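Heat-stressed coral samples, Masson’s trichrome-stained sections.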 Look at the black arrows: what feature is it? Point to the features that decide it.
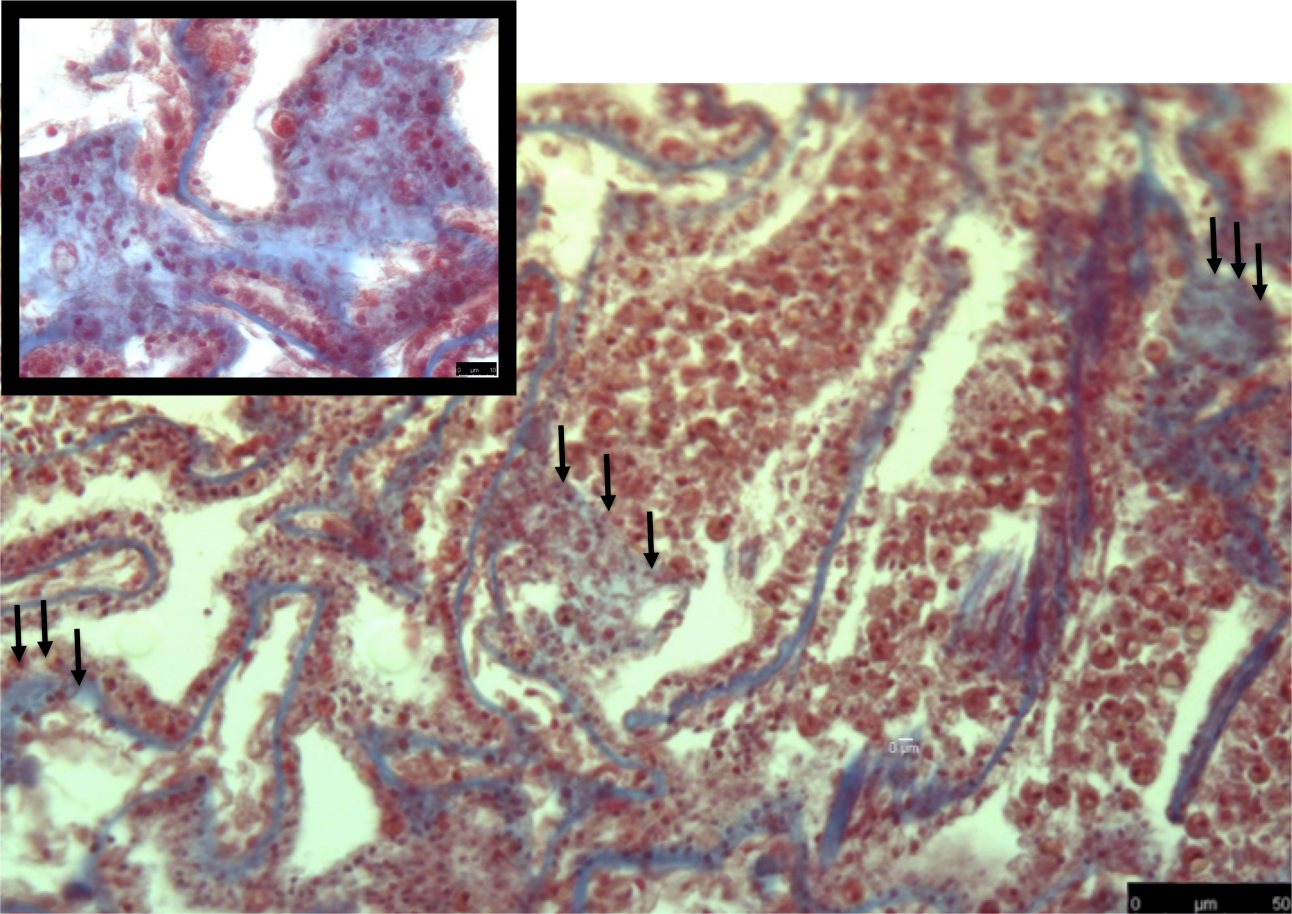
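Collagen. The black arrows point to patches of diffuse pale blue staining within the tissue. The blue material spreads between the red-stained cells rather than staying in thin bands. Thin blue lines also outline the folded tissue layers.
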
